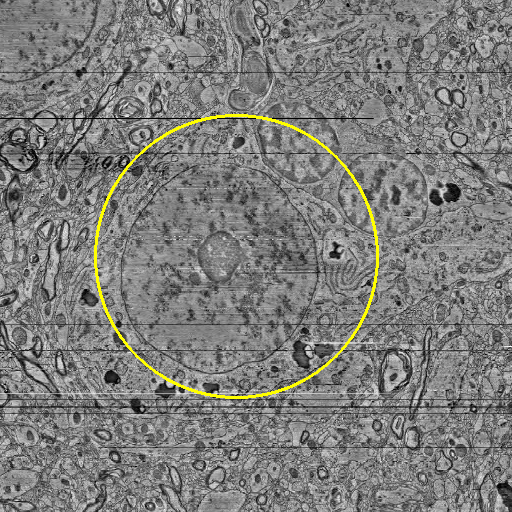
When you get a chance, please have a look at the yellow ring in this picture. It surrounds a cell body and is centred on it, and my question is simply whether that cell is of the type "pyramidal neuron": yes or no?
Yes, the cell is of that type.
